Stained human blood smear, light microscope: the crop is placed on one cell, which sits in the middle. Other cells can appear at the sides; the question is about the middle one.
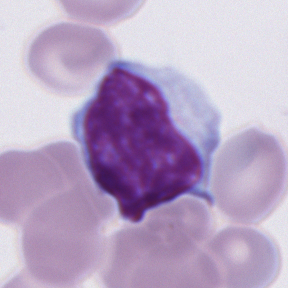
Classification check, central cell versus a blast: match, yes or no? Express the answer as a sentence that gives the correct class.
No, the cell in the middle is correctly named a lymphocyte, not a blast.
